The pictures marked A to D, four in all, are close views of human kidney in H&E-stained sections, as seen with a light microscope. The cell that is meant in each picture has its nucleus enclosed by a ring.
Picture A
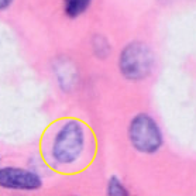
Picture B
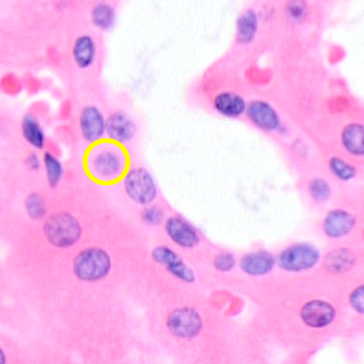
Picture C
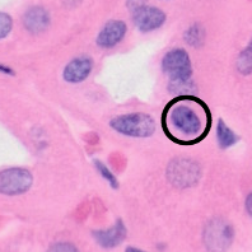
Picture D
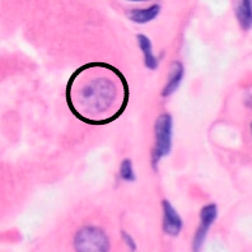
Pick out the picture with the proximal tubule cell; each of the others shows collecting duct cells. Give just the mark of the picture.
D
